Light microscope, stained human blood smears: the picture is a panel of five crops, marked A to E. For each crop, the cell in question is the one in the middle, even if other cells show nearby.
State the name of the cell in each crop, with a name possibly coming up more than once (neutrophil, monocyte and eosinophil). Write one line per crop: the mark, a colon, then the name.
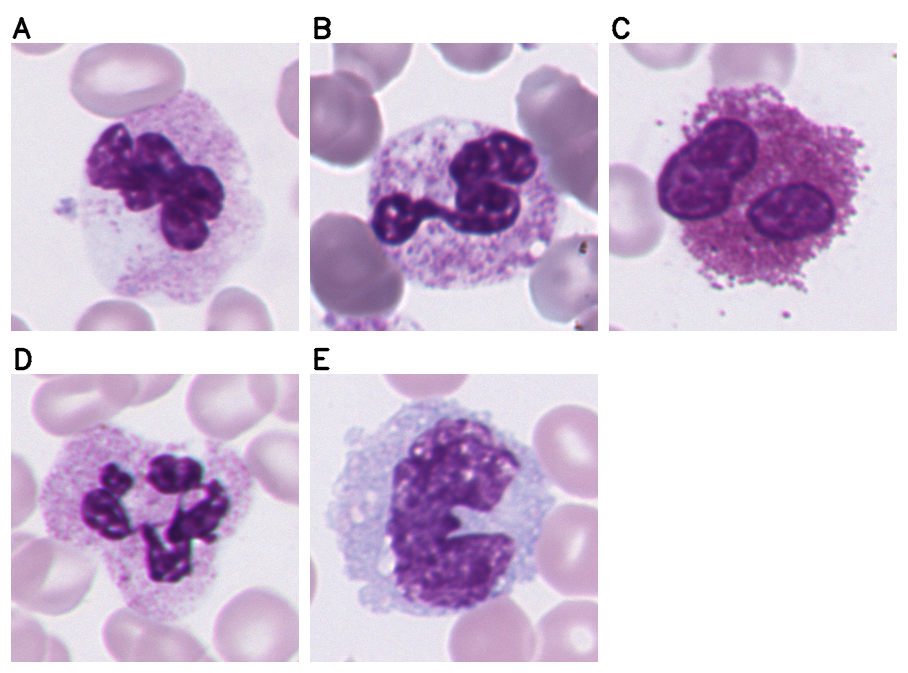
A: neutrophil
B: neutrophil
C: eosinophil
D: neutrophil
E: monocyte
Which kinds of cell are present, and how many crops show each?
neutrophil: 3
eosinophil: 1
monocyte: 1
